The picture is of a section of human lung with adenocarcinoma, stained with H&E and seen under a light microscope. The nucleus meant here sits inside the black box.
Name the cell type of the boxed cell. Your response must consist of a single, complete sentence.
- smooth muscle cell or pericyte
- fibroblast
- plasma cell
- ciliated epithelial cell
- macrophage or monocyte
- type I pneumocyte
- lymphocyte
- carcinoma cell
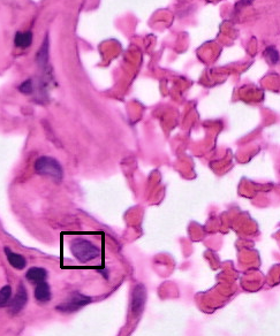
As to its cell type, the boxed cell is a type I pneumocyte.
